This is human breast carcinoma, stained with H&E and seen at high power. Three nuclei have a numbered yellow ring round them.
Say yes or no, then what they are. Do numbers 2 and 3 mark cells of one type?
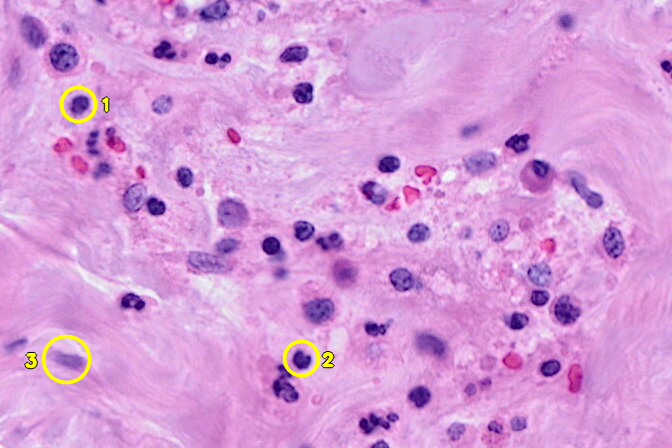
No, that does not hold; cell 2 is a lymphocyte and cell 3 is a fibroblast.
